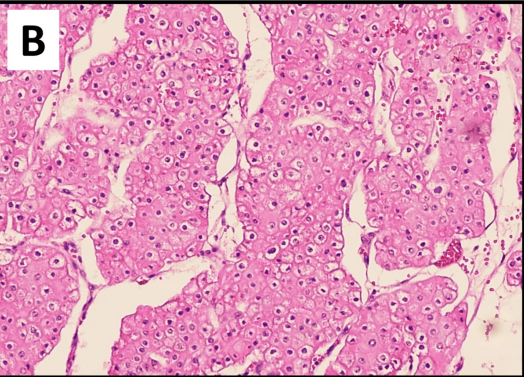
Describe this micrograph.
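The tumor is made of solid nests and sheets of cells with oncocytoma-like cytology: ample pink cytoplasm, distinct cell borders and round, fairly uniform central nuclei. The nests are divided by thin, loose stroma with small vessels and scattered red blood cells.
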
